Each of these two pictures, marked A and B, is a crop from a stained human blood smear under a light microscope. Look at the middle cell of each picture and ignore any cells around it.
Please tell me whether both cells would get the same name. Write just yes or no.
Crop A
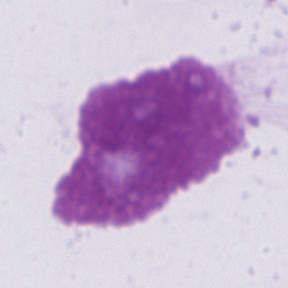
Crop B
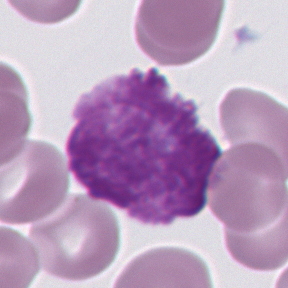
yes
